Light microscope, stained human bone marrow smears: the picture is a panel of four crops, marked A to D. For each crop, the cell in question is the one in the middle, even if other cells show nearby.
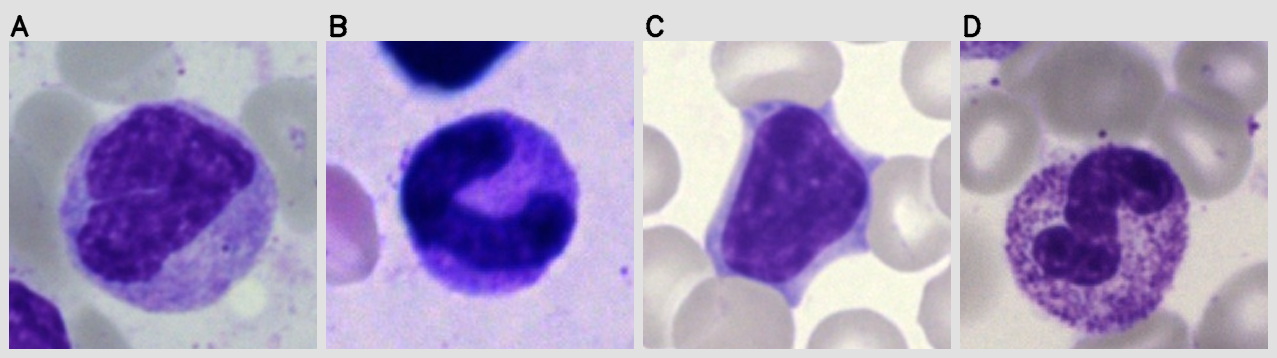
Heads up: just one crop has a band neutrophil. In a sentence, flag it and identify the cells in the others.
Crop B shows a band neutrophil, while in contrast crop A is a monocyte, crop C is a lymphocyte and crop D is a segmented neutrophil.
